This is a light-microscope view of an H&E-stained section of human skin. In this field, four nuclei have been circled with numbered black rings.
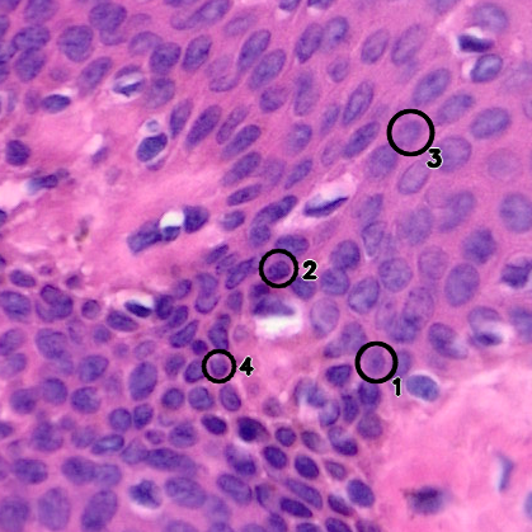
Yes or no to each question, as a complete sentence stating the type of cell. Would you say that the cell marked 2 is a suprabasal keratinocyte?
No, cell 2 is not a suprabasal keratinocyte at all but a basal keratinocyte.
